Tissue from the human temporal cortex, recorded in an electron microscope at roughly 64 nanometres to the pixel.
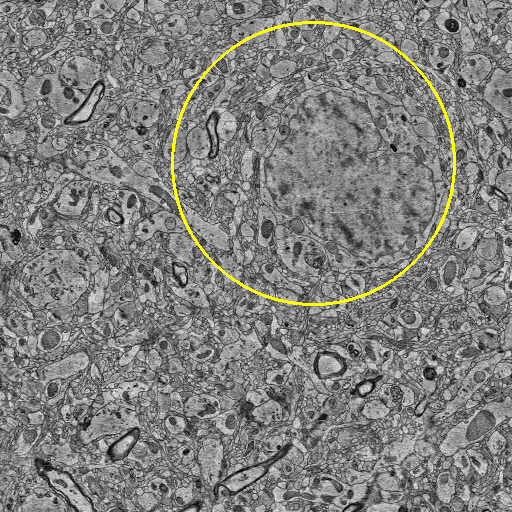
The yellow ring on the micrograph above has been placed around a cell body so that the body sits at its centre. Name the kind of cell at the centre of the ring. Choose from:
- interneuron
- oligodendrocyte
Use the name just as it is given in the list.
interneuron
